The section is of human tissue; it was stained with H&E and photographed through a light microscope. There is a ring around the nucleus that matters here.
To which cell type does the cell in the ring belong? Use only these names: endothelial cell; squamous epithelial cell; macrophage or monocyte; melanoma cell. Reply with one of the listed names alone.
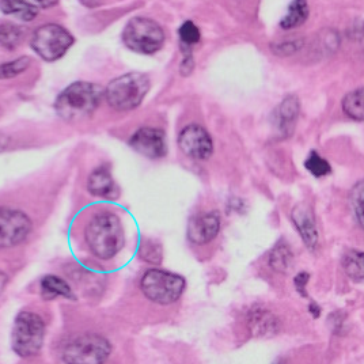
melanoma cell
